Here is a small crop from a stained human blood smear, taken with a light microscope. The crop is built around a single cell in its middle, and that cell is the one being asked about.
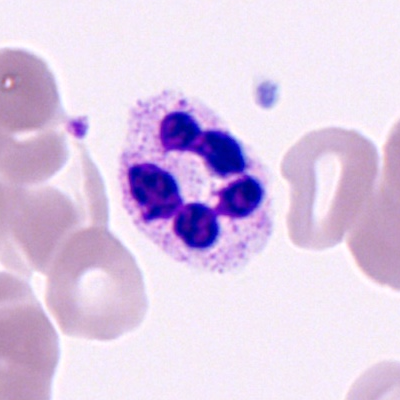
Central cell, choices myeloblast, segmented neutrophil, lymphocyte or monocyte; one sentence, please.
Centred in the crop is a segmented neutrophil.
